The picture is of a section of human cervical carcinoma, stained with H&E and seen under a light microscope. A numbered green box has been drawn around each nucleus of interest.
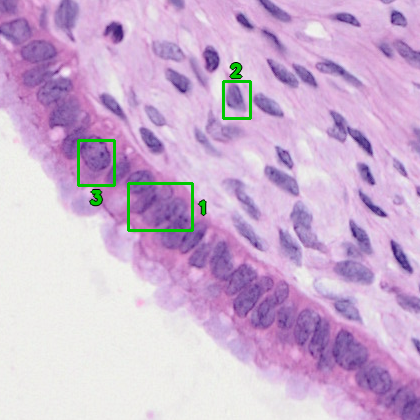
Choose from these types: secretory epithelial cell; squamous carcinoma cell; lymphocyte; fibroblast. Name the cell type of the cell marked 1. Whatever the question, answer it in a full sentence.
Of the numbered cells, the one labelled 1 is a secretory epithelial cell.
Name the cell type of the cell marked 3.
What the number 3 marks in this field is a secretory epithelial cell.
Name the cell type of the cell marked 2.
In the tissue shown, cell 2 is a fibroblast.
